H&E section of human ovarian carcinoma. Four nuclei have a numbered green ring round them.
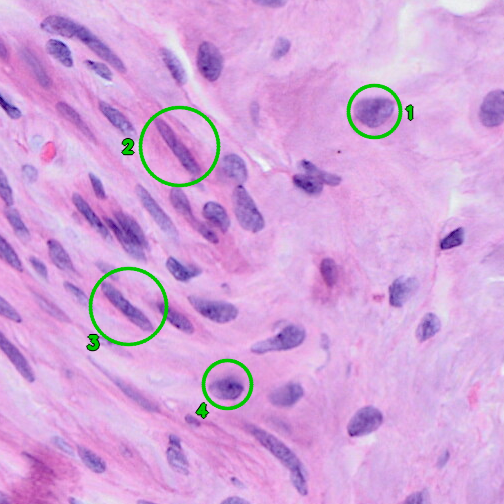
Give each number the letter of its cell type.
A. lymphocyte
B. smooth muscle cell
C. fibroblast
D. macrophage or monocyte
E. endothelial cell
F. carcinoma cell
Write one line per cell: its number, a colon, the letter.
1: C
2: B
3: B
4: C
